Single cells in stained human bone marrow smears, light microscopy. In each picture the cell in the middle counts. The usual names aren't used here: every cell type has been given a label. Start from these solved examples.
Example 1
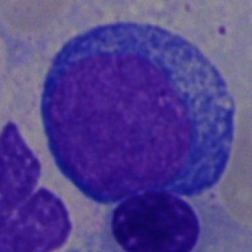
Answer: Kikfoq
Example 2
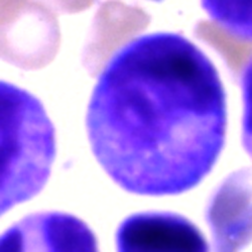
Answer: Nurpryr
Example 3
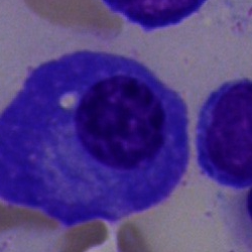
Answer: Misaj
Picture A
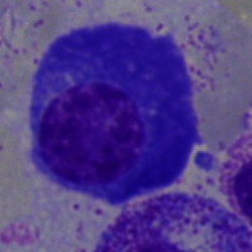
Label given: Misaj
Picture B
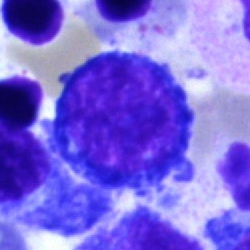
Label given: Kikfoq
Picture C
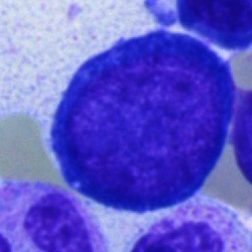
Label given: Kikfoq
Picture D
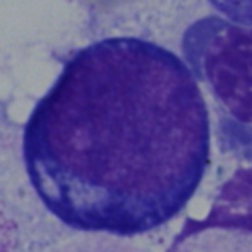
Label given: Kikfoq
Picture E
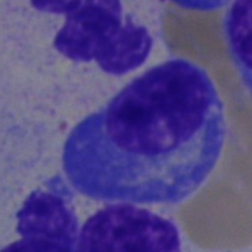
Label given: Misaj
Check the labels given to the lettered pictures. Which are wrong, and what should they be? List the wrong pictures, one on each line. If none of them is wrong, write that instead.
Nothing to fix; every label fits.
